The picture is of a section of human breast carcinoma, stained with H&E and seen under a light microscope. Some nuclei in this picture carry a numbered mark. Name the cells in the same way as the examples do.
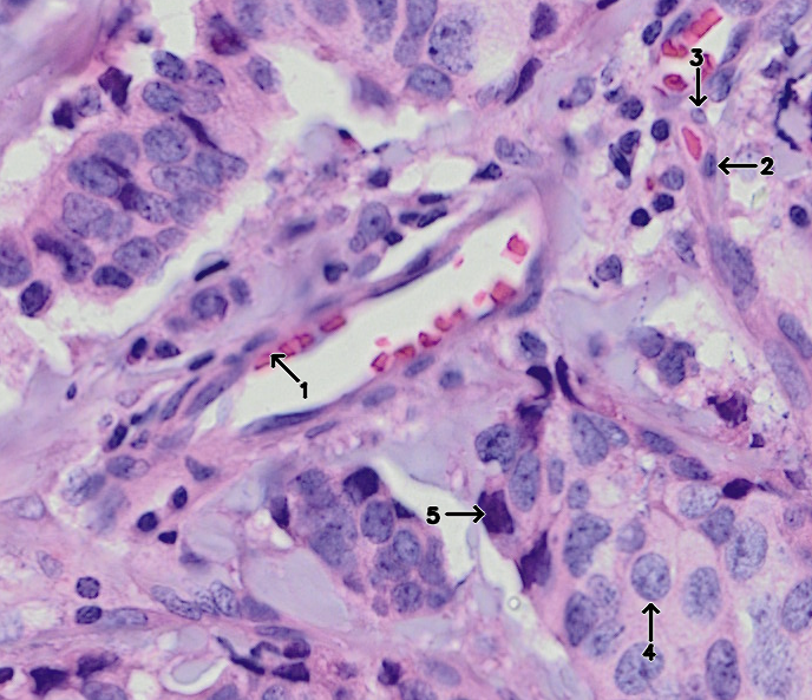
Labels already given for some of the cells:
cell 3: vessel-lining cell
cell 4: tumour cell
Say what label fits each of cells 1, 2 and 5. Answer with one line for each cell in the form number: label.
1: vessel-lining cell
2: vessel-lining cell
5: tumour cell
